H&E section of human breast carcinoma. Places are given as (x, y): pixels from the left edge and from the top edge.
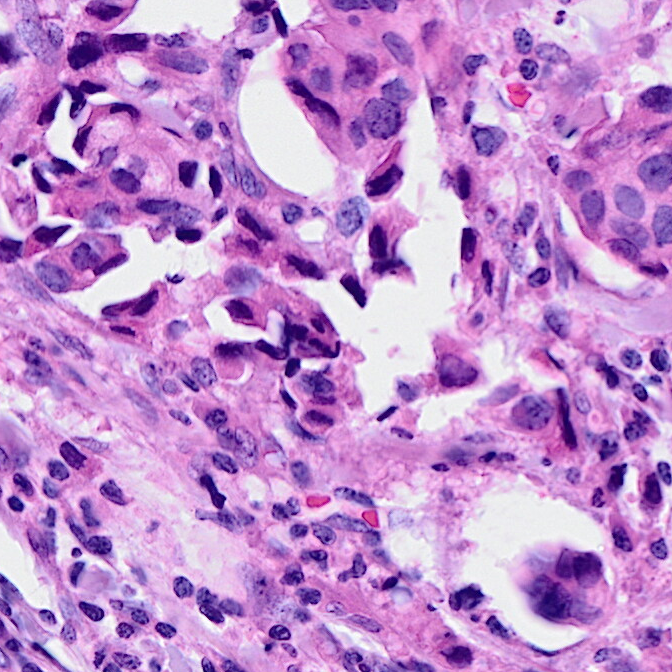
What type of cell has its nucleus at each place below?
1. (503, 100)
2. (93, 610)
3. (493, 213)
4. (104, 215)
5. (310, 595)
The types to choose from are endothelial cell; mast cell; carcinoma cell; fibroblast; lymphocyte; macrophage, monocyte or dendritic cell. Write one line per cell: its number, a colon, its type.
1: endothelial cell
2: lymphocyte
3: macrophage, monocyte or dendritic cell
4: carcinoma cell
5: lymphocyte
